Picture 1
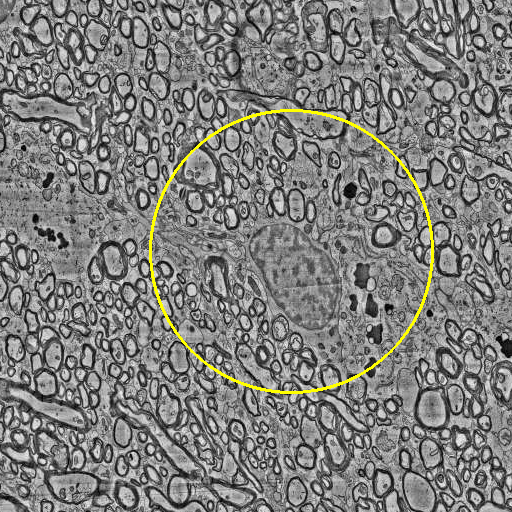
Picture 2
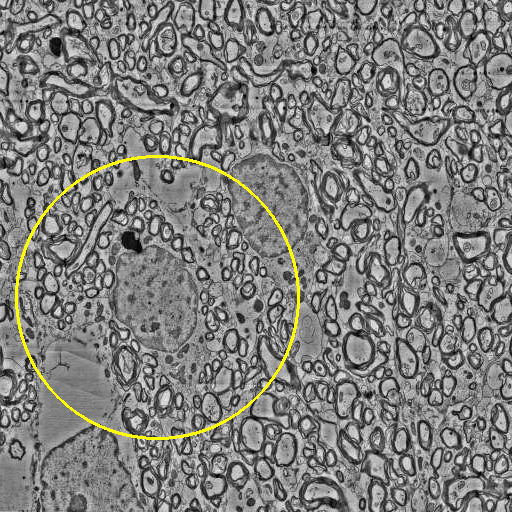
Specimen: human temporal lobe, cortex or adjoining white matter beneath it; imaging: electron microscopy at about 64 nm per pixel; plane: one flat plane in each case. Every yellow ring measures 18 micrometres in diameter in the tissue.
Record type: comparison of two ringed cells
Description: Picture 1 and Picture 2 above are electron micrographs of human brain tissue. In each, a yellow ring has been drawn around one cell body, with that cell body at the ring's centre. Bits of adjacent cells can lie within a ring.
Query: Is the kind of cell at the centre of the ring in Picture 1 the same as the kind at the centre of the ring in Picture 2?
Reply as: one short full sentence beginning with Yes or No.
Yes, the two ringed cells are of the same kind.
